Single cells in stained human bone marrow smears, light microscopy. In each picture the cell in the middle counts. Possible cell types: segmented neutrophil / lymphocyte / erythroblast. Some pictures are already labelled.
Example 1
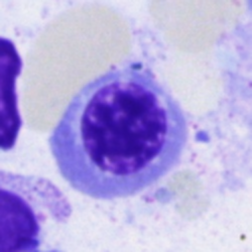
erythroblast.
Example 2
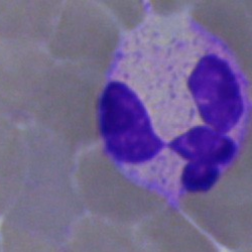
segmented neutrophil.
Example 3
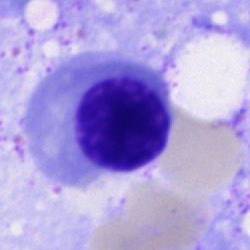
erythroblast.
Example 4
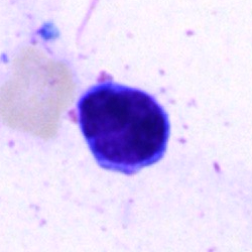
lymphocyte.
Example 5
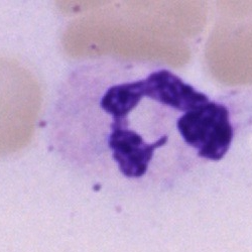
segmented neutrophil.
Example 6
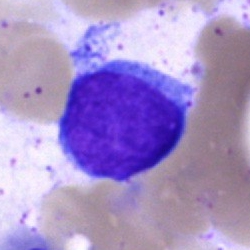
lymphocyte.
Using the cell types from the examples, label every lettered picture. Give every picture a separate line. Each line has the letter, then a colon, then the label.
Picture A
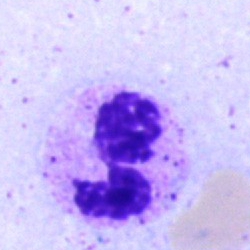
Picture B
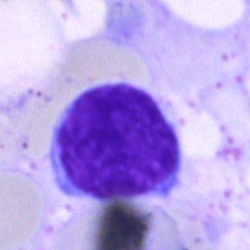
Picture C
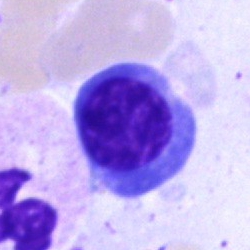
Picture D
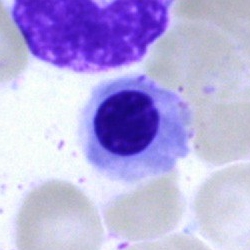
A: segmented neutrophil.
B: lymphocyte.
C: erythroblast.
D: erythroblast.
